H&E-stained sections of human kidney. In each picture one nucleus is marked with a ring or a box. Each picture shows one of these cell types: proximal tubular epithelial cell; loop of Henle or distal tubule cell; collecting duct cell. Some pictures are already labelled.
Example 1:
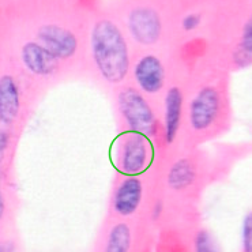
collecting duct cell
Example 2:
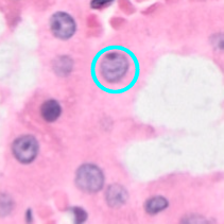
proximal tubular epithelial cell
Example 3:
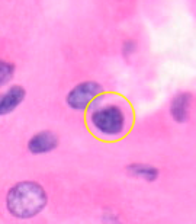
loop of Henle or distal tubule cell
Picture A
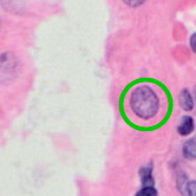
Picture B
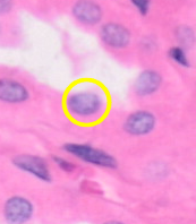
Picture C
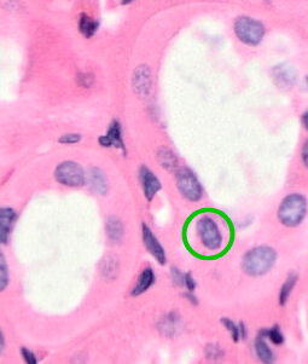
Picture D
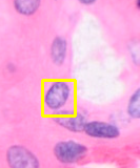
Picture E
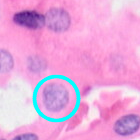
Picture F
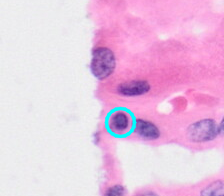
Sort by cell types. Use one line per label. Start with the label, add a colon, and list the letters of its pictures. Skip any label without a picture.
proximal tubular epithelial cell: A
loop of Henle or distal tubule cell: B, C
collecting duct cell: D, E, F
